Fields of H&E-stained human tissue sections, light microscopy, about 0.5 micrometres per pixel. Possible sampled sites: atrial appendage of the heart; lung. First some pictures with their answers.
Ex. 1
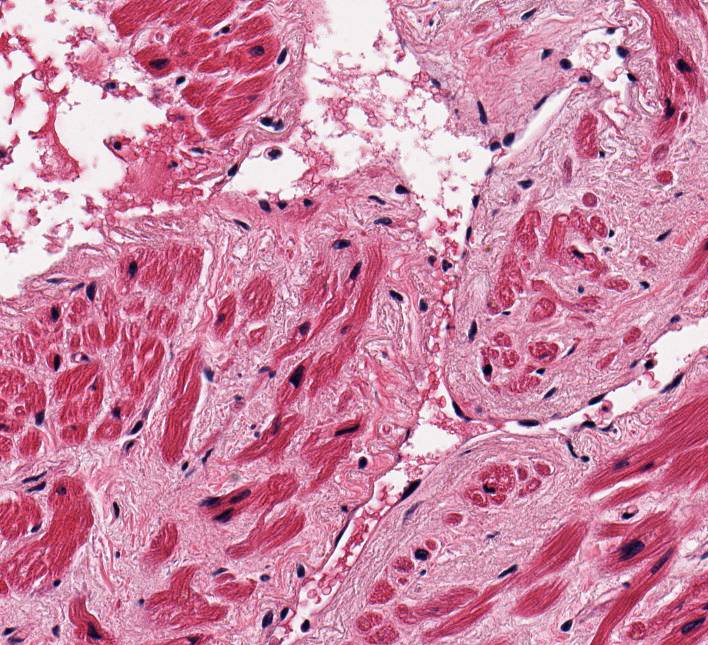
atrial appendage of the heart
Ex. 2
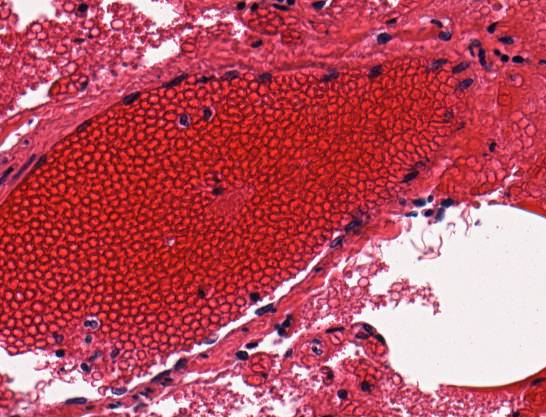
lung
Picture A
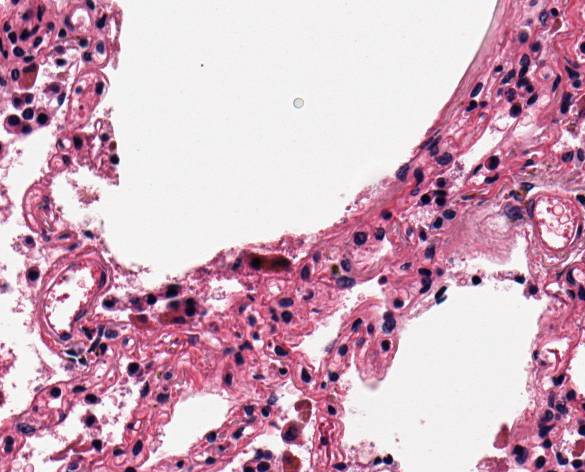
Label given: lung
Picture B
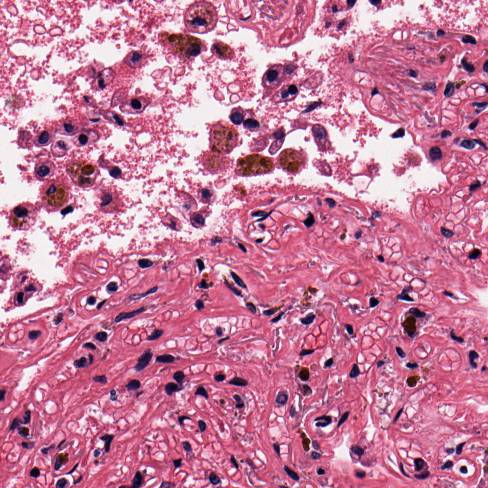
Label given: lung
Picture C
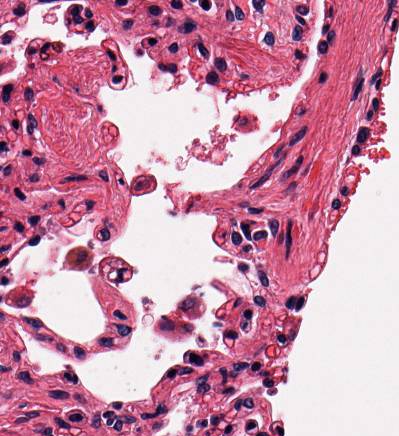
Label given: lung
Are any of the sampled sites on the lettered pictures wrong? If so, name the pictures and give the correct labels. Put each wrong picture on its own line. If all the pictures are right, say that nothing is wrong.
All correct.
